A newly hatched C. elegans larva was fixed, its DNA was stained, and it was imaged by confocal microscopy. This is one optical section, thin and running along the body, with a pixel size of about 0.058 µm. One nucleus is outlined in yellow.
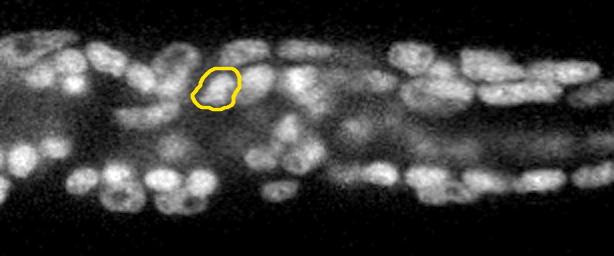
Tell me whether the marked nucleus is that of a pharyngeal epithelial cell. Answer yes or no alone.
no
